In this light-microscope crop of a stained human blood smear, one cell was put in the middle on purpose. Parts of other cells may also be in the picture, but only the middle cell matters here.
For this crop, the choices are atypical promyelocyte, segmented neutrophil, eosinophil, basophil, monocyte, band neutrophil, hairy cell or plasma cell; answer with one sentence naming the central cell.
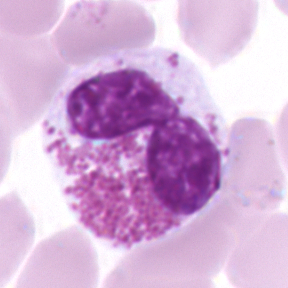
The central cell in this smear crop is an eosinophil.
